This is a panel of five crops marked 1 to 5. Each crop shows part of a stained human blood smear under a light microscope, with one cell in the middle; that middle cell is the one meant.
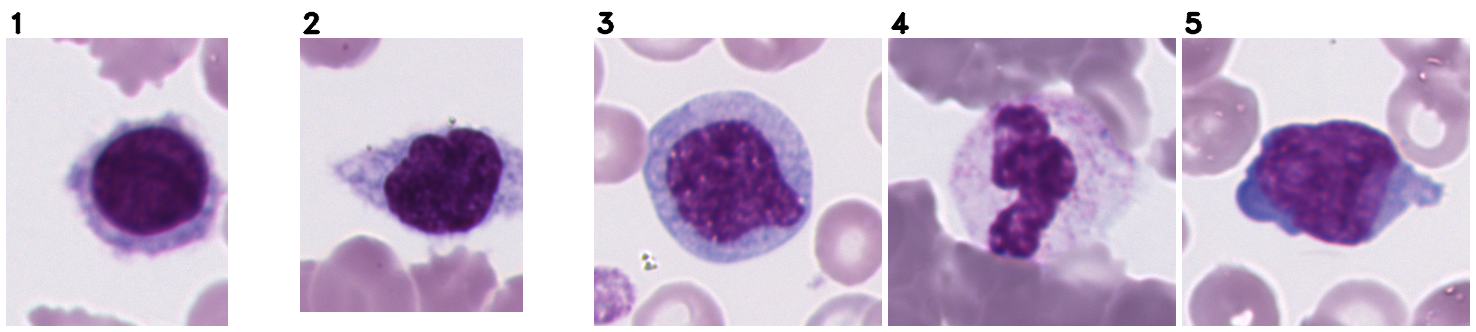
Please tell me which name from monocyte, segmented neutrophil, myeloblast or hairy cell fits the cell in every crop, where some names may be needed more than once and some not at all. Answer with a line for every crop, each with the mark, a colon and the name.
1: hairy cell
2: hairy cell
3: monocyte
4: segmented neutrophil
5: myeloblast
